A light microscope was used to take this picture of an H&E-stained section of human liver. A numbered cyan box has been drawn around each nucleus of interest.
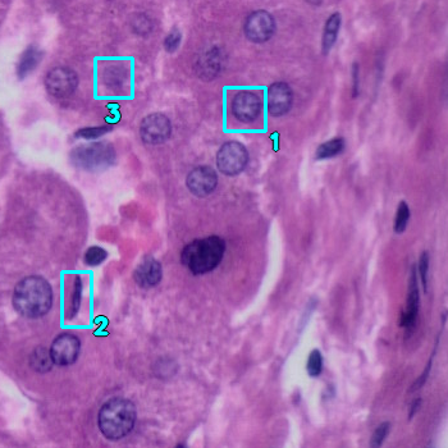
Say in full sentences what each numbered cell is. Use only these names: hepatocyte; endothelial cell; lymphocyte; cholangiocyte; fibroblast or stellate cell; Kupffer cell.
Cell 1 is a hepatocyte, cell 2 is an endothelial cell and cell 3 is a hepatocyte.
